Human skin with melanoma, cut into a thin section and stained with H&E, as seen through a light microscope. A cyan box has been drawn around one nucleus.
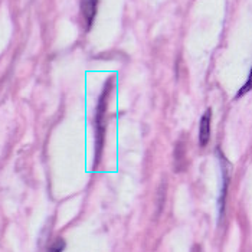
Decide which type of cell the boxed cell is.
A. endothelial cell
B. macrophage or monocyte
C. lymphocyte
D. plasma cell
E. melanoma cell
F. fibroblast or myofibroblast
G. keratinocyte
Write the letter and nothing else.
F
